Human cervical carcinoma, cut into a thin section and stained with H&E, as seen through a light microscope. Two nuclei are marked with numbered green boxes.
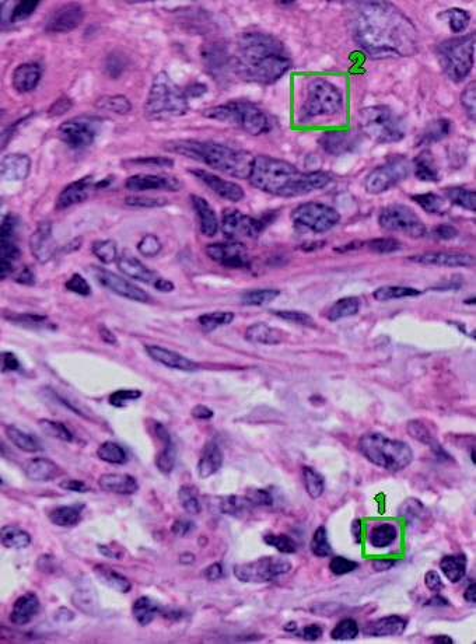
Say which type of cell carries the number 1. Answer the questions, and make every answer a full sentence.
It is as a lymphocyte that the cell numbered 1 is identified.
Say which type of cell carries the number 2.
The one numbered 2 among the marked cells is a squamous carcinoma cell.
